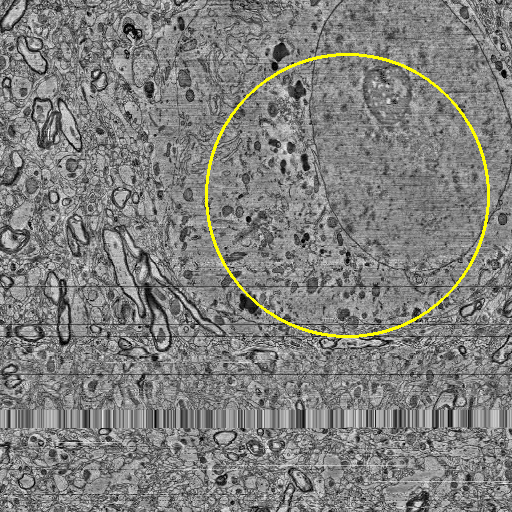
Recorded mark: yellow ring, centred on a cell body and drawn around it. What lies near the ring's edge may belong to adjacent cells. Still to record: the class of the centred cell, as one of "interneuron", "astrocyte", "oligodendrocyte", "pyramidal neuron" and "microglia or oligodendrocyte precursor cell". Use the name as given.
pyramidal neuron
